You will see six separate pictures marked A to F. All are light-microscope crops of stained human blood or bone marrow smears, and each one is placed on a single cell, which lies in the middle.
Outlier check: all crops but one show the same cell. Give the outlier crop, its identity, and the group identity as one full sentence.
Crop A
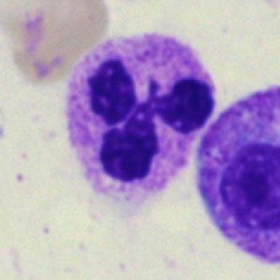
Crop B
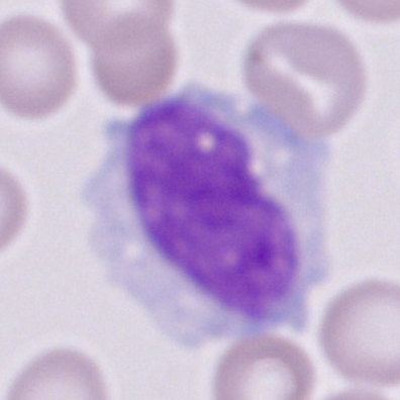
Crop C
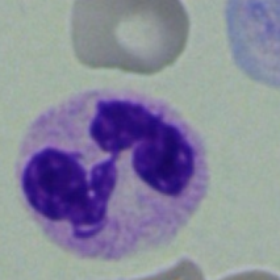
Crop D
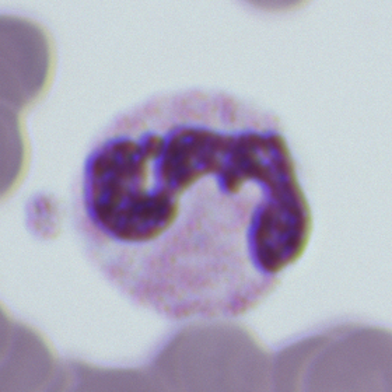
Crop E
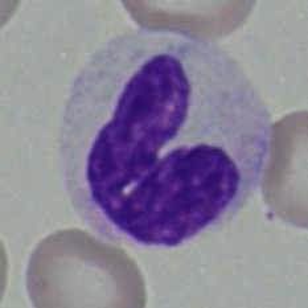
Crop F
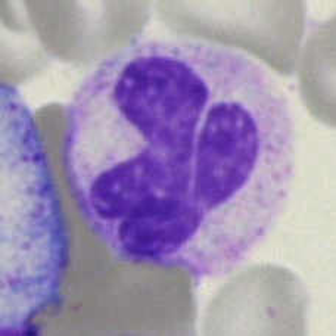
What sets crop B apart is that it shows a monocyte, while the others show neutrophils.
